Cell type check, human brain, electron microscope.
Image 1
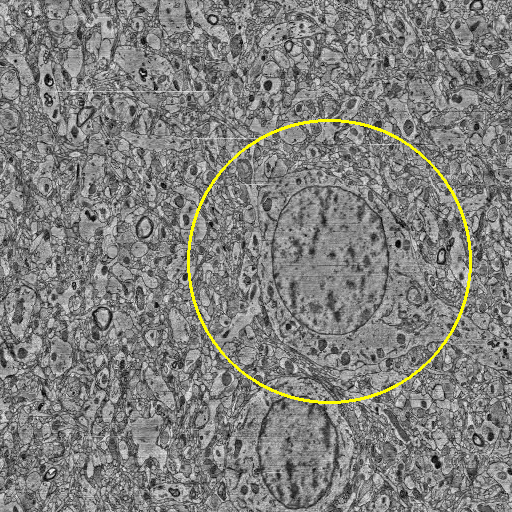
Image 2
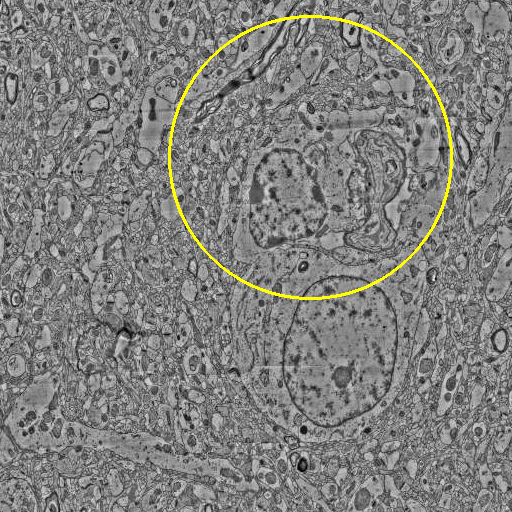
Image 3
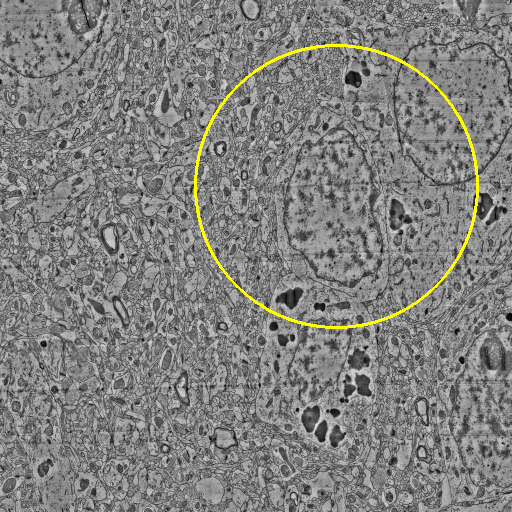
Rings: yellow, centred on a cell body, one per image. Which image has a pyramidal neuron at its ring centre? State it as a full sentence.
The ring in Image 1 is centred on it.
